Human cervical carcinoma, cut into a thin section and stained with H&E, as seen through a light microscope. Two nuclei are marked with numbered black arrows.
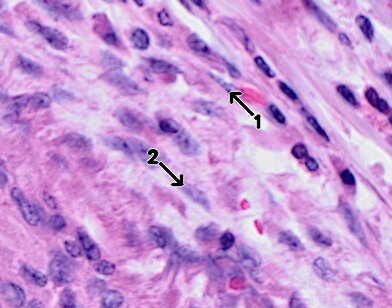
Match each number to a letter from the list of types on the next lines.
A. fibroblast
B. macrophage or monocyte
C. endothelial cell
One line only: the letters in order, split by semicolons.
C; A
